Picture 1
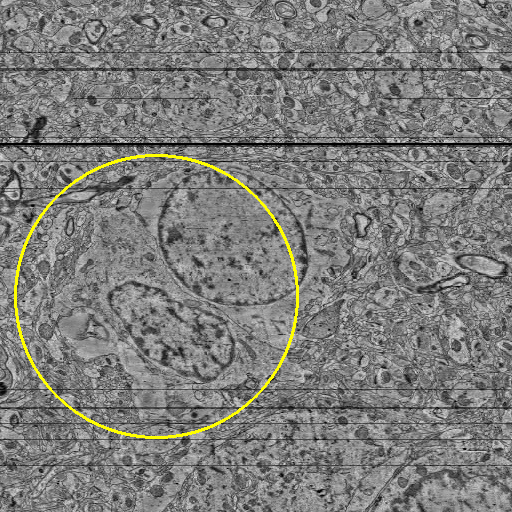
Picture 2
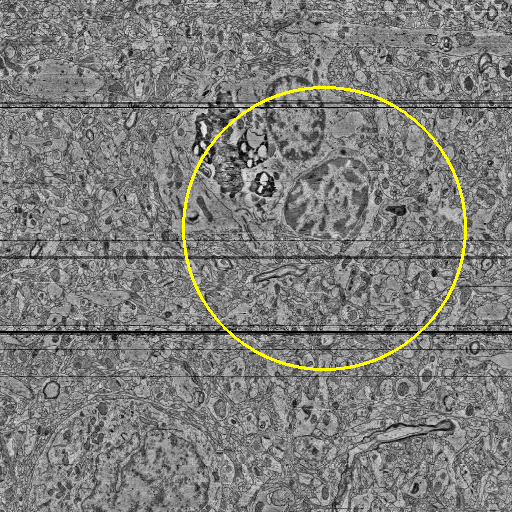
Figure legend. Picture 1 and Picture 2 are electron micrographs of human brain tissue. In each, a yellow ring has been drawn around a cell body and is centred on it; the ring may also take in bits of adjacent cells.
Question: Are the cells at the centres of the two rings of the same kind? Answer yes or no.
yes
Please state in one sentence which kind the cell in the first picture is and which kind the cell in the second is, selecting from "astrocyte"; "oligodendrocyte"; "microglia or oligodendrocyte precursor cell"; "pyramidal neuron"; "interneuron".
Both the first and the second picture show a microglial cell or oligodendrocyte precursor cell in the ring.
